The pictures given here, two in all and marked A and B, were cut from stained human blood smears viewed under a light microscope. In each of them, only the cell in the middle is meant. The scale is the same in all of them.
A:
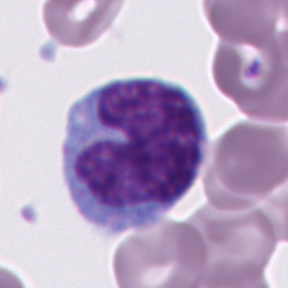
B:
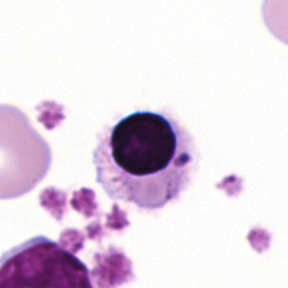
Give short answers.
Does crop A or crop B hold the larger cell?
A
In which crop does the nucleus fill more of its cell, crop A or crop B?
A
